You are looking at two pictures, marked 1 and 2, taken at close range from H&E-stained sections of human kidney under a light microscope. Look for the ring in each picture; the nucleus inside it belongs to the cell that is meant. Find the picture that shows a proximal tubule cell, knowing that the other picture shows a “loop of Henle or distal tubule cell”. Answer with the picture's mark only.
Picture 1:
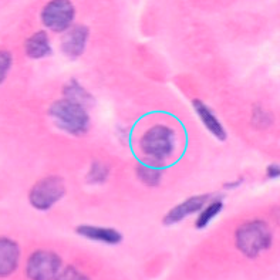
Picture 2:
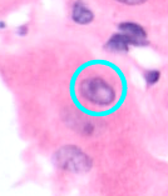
2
